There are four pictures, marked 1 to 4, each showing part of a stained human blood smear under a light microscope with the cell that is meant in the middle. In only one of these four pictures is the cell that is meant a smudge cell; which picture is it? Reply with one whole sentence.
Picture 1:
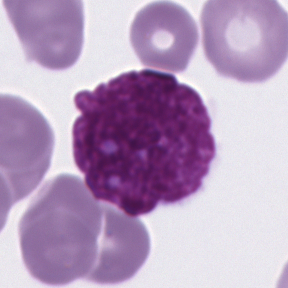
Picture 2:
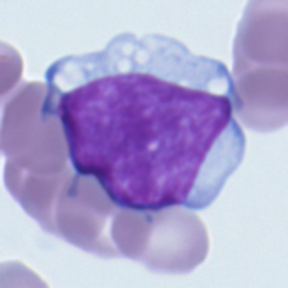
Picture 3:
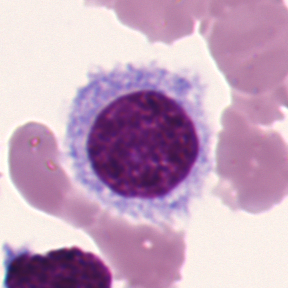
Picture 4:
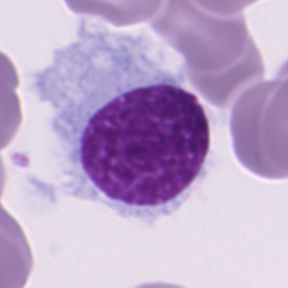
Picture 1 shows the smudge cell.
